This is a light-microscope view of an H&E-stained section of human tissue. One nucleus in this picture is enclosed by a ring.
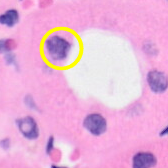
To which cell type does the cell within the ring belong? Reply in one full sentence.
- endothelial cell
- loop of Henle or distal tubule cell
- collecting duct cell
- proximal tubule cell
In the stained section, the cell within the ring is a loop of Henle or distal tubule cell.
